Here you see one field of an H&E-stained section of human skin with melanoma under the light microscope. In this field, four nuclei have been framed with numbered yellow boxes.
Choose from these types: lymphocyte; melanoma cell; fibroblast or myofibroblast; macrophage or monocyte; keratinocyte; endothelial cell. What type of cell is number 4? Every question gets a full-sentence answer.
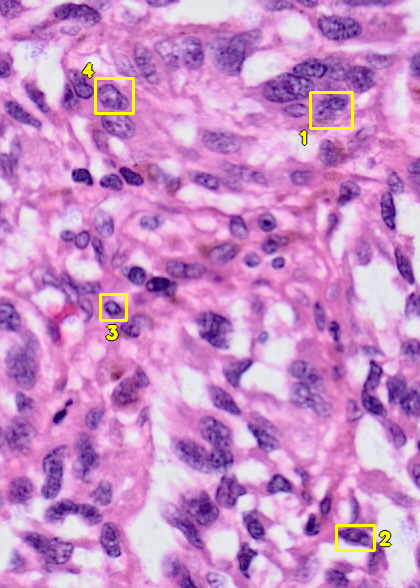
The numbered cell 4 in this field is a melanoma cell.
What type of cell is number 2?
The one numbered 2 among the marked cells is a melanoma cell.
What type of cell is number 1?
The cell identified by the number 1 is a melanoma cell.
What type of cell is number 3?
The marked cell with the number 3 is recognised as a lymphocyte.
